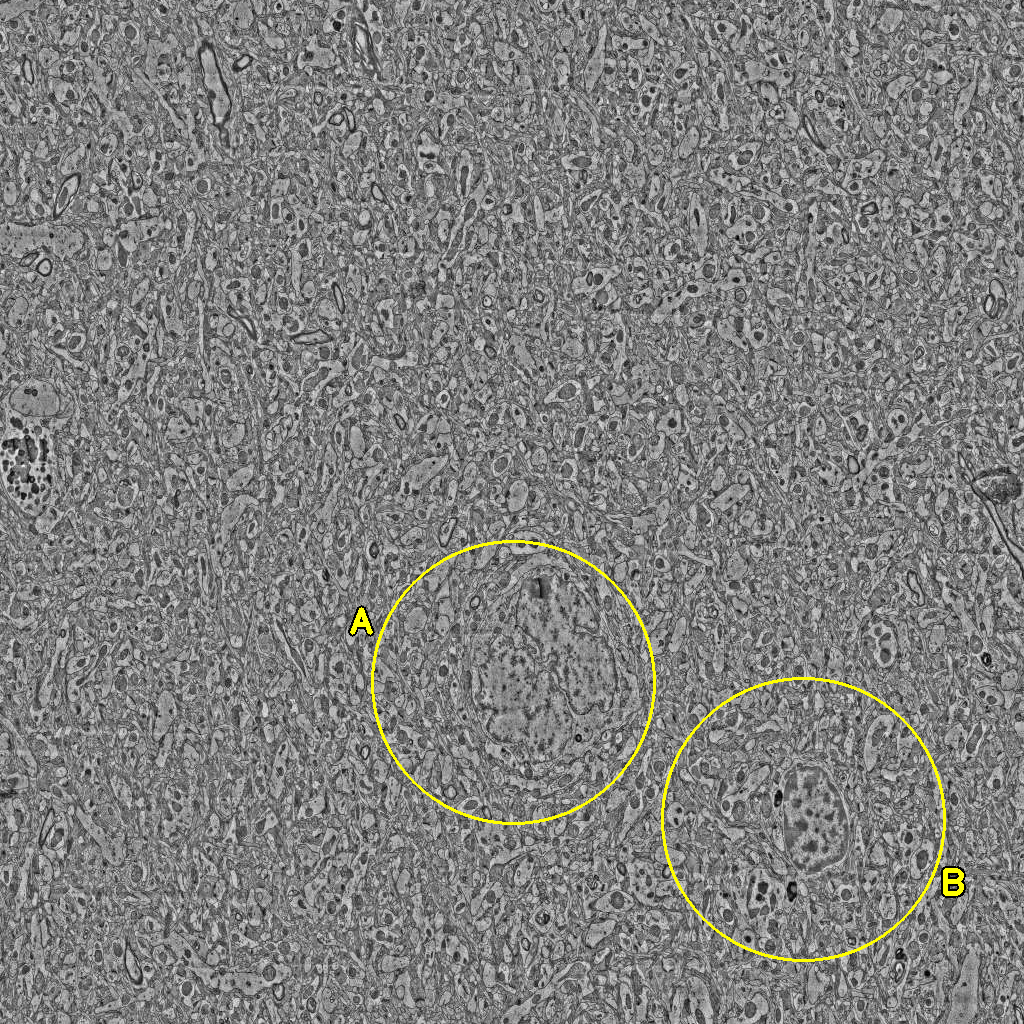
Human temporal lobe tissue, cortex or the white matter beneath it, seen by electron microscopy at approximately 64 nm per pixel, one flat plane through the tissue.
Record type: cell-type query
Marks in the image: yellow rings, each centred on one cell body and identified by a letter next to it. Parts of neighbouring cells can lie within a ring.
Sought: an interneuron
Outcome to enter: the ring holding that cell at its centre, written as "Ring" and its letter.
Ring A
